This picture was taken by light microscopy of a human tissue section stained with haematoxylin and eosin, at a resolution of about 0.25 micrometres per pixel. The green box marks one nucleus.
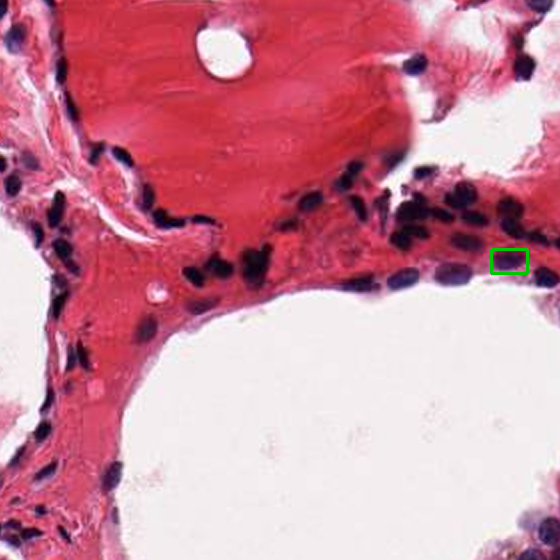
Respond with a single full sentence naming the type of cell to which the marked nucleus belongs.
The cell whose nucleus is marked is a thyroid follicular cell.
